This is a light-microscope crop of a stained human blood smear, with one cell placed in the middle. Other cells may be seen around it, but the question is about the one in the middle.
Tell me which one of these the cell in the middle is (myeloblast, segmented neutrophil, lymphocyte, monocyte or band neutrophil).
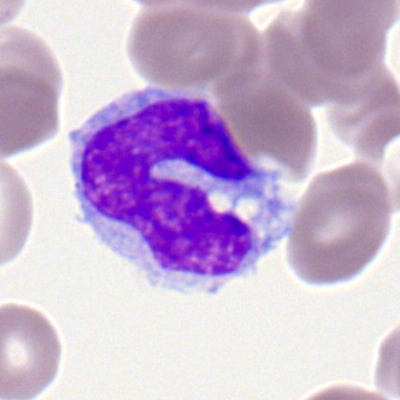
monocyte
